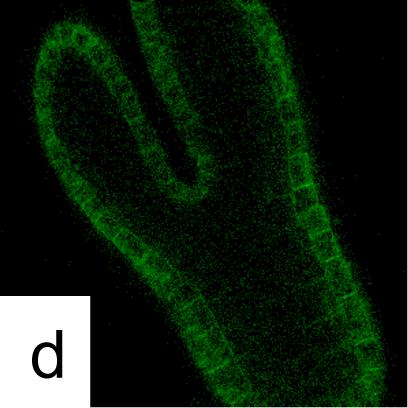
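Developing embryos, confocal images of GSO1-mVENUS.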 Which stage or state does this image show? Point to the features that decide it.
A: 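The embryo is elongated with long finger-like cotyledons at the top. The hypocotyl region forms a long column below the cotyledons.
Conclusion: early torpedo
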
